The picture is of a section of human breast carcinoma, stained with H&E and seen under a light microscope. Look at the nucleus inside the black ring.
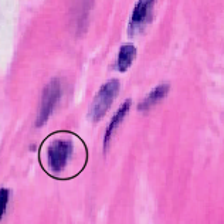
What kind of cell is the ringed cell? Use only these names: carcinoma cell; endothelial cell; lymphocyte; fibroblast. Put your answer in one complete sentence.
The ringed cell is a lymphocyte.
